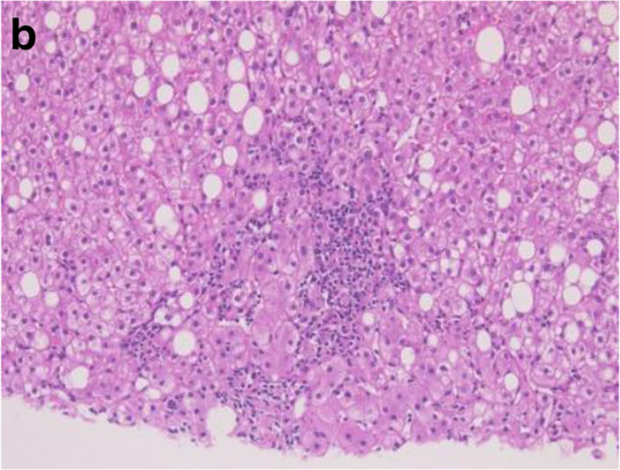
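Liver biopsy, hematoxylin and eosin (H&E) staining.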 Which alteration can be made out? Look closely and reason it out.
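Infiltrations of inflammatory cells. A dense cluster of small cells with dark round nuclei and scant cytoplasm sits in the centre. The cluster lies among larger pink polygonal cells.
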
